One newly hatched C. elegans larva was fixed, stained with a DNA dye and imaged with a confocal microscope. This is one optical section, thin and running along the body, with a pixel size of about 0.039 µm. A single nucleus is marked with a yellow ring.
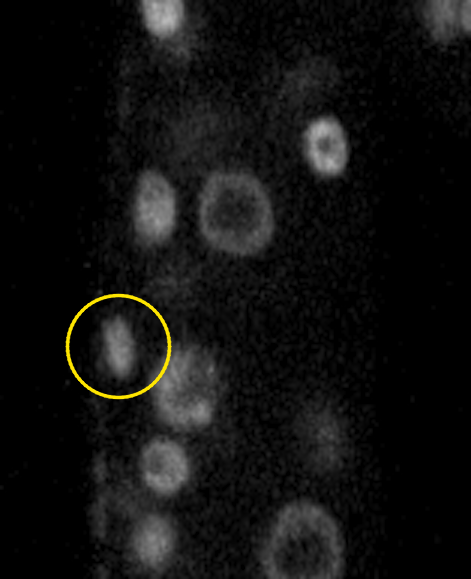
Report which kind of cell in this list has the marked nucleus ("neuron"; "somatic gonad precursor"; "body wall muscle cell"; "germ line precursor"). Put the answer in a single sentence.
What is marked is the nucleus of a neuron.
